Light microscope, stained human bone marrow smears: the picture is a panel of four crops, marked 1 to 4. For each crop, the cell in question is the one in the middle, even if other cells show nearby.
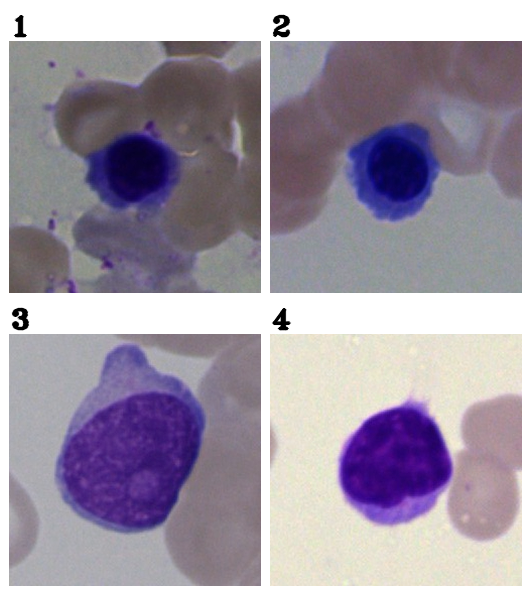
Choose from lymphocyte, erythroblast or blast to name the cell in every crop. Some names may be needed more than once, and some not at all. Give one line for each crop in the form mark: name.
1: erythroblast
2: erythroblast
3: blast
4: lymphocyte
